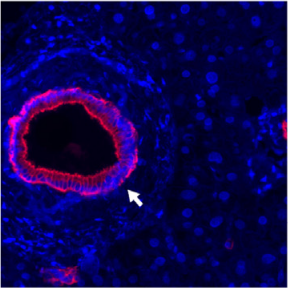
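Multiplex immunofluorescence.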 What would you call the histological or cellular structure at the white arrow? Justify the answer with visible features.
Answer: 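A round tube with an open central lumen. The wall is a single layer of red-outlined epithelial cells. It is surrounded by concentric layers of stromal cells within liver tissue.
Hence: bile ducts.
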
